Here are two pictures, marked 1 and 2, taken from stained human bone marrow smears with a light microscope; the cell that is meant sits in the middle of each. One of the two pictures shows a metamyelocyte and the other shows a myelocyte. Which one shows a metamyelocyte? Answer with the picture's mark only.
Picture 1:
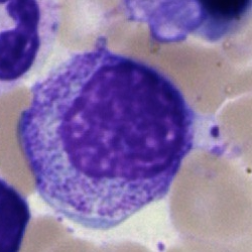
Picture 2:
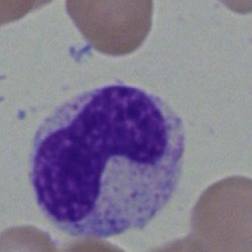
2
